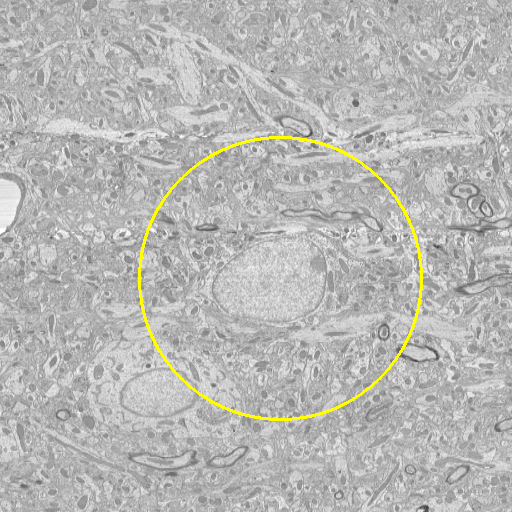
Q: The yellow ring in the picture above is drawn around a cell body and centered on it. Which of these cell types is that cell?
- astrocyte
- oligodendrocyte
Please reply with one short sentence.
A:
The cell body at the ring's center belongs to an astrocyte.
